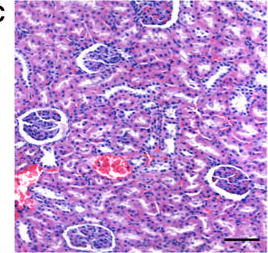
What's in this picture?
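This section of kidney shows closely packed tubules and several glomeruli. The glomeruli are round tufts of cells with purple nuclei, each set in a narrow clear space inside a thin capsule. The tubules between them are lined by cells with pink cytoplasm and round purple nuclei, and their lumens are small. A vessel filled with red blood cells lies among the tubules. The tissue is evenly arranged with little cellular space between tubules.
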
